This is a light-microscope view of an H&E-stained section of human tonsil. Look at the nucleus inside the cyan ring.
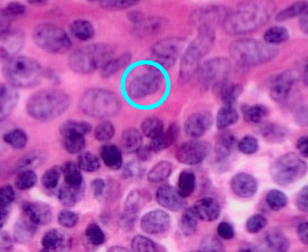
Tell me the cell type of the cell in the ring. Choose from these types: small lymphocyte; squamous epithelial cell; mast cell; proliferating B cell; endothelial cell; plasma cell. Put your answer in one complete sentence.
It is as an endothelial cell that the cell in the ring is recorded.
